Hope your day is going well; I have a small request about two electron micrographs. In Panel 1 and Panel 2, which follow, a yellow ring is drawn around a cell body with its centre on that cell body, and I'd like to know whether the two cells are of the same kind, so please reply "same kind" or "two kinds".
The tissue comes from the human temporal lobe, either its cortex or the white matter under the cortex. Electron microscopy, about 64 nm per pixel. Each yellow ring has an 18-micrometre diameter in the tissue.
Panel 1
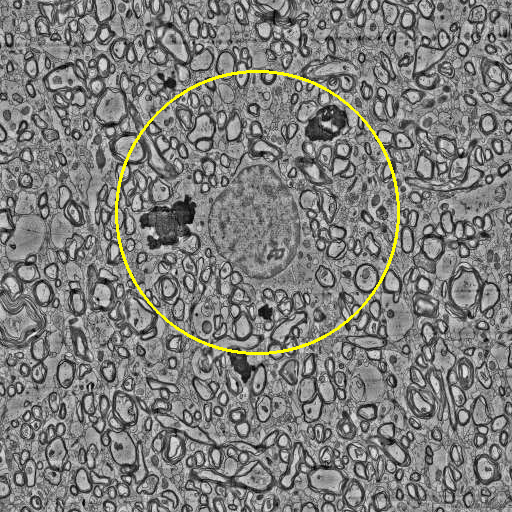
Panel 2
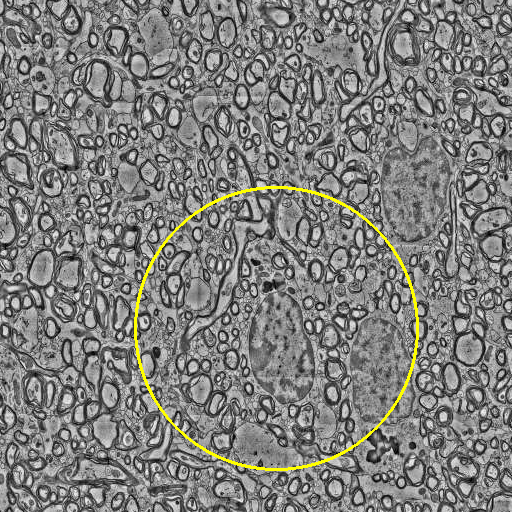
two kinds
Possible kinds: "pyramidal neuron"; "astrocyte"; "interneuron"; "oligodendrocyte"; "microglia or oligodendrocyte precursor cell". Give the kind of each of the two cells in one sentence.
The cell in the second picture is a microglial cell or oligodendrocyte precursor cell, and that in the first is an oligodendrocyte.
